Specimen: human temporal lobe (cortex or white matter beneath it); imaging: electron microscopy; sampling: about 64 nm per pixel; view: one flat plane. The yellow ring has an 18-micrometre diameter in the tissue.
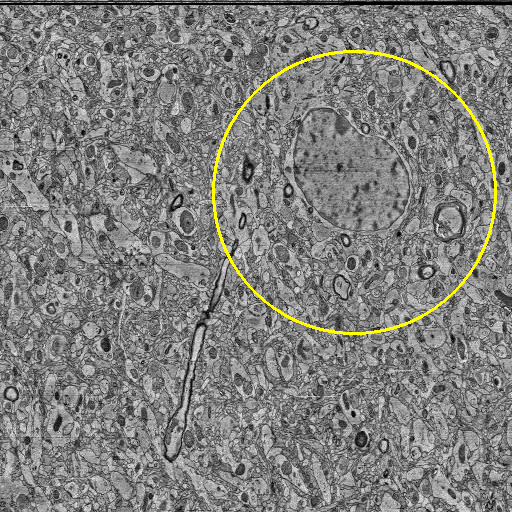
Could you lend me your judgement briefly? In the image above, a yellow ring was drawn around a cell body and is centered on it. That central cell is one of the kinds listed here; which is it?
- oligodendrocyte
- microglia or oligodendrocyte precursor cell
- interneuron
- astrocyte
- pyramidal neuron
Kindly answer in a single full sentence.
Going by the list, a microglial cell or oligodendrocyte precursor cell is the kind at the ring's center in the picture.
